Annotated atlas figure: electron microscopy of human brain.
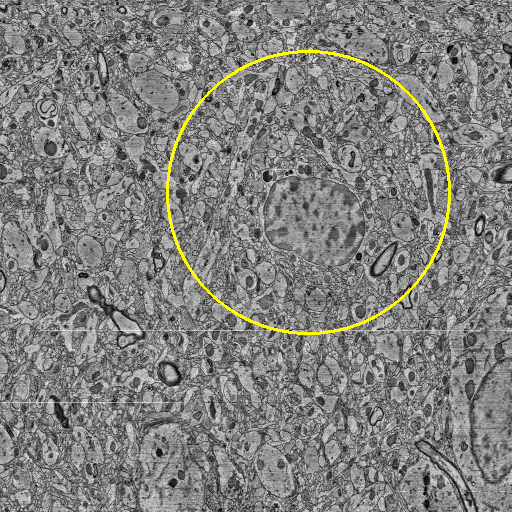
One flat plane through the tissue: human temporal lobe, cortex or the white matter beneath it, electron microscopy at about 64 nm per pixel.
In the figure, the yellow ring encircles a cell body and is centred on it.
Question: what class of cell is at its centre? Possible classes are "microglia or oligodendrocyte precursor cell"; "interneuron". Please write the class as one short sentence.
The yellow ring is drawn around a microglial cell or oligodendrocyte precursor cell.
